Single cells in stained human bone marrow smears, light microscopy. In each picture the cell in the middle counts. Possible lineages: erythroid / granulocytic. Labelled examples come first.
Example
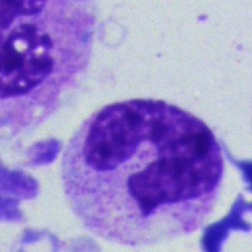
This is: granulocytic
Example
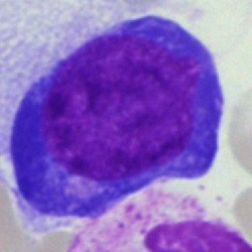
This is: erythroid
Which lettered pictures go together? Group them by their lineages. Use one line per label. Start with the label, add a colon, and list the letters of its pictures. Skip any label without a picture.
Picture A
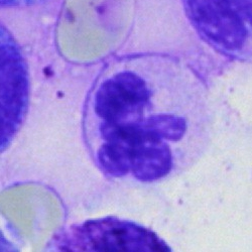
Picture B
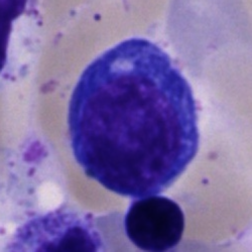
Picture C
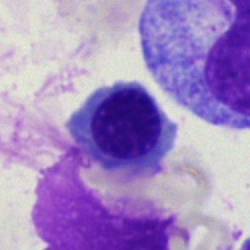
erythroid: B, C
granulocytic: A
